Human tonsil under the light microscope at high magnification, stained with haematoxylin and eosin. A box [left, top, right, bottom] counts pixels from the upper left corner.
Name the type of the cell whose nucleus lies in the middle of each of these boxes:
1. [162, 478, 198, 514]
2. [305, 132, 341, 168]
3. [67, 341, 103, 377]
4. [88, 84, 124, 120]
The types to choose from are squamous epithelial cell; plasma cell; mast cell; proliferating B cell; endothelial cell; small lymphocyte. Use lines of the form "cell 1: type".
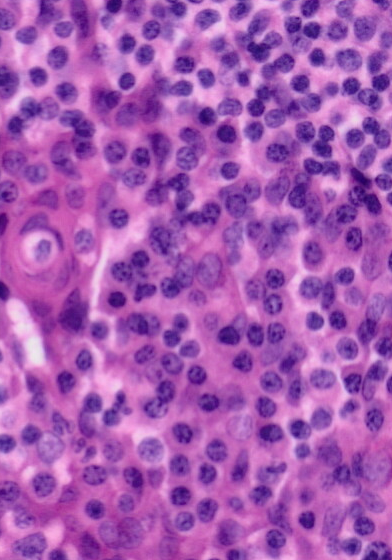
cell 1: plasma cell
cell 2: small lymphocyte
cell 3: plasma cell
cell 4: squamous epithelial cell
